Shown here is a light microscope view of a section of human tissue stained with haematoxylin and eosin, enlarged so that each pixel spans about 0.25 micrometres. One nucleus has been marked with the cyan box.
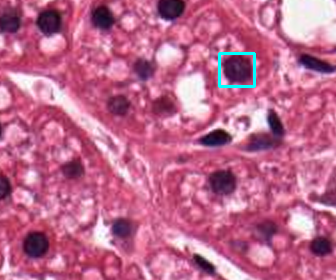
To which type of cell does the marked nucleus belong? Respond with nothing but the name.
adrenal cortical cell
